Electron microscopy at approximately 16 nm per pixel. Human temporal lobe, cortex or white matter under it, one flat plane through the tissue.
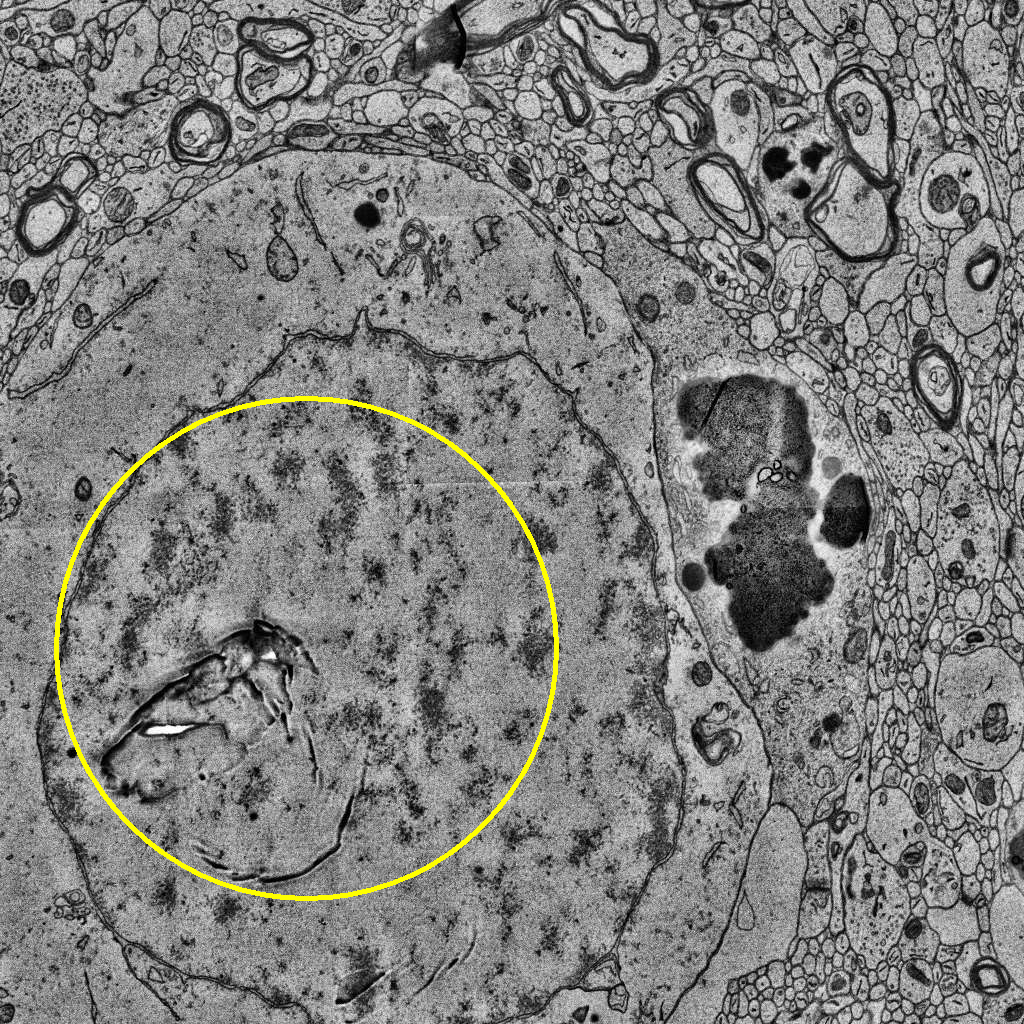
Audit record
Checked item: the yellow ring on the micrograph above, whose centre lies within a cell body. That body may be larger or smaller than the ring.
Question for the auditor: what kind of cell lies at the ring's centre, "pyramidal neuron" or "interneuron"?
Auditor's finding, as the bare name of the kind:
interneuron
